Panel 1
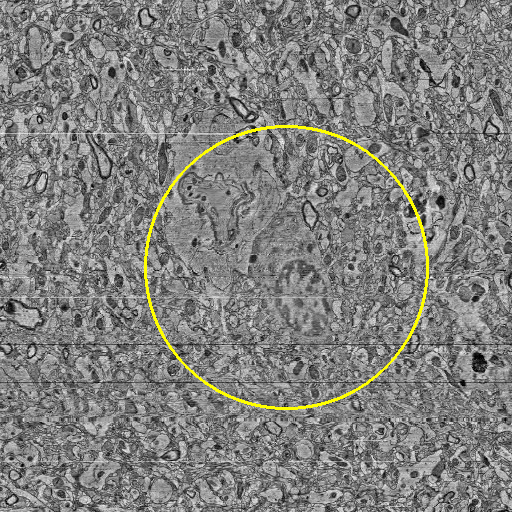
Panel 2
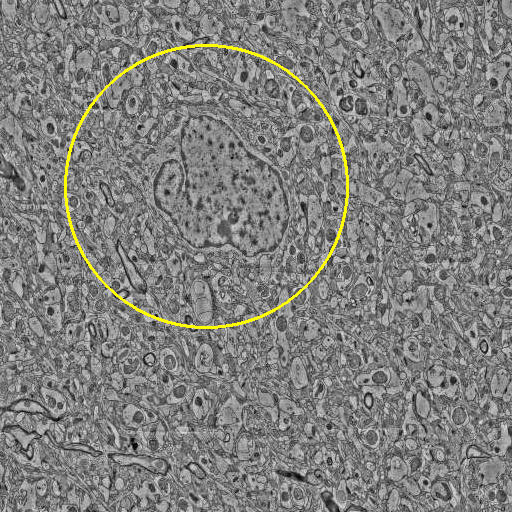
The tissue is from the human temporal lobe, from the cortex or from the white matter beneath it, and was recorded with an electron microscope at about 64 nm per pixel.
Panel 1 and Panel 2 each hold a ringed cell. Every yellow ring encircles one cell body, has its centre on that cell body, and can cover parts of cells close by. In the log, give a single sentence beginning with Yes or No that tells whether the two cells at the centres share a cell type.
No, in Panel 1 and Panel 2 the centred cells are of two cell types.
